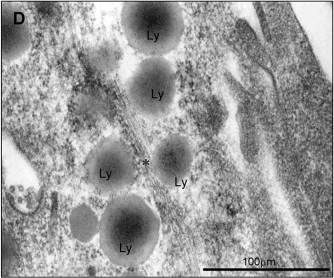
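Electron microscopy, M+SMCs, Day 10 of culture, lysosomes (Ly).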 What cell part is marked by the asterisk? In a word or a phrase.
Microfilaments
